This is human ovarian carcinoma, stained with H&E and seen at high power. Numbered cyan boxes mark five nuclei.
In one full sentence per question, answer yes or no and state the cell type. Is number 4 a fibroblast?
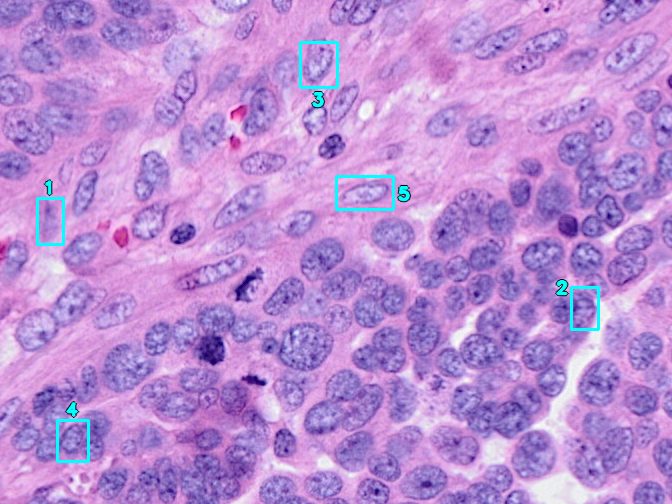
No; cell 4 is a carcinoma cell, not a fibroblast.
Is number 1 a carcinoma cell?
No. Cell number 1 is a fibroblast, not a carcinoma cell.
